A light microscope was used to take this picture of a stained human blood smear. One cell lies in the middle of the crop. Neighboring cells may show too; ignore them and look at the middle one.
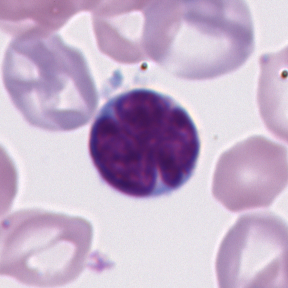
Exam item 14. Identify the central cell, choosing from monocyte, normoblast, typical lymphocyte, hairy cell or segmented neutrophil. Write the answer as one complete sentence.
The cell under consideration, at the middle of the crop, is a typical lymphocyte.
